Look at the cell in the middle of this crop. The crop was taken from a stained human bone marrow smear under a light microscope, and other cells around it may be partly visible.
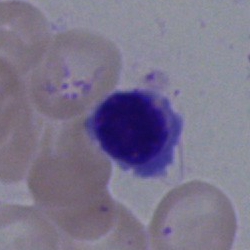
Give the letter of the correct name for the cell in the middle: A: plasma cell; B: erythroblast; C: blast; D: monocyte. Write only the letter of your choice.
B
